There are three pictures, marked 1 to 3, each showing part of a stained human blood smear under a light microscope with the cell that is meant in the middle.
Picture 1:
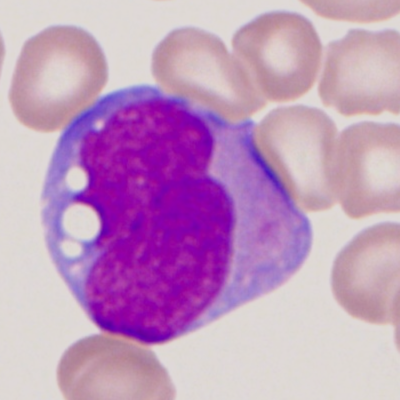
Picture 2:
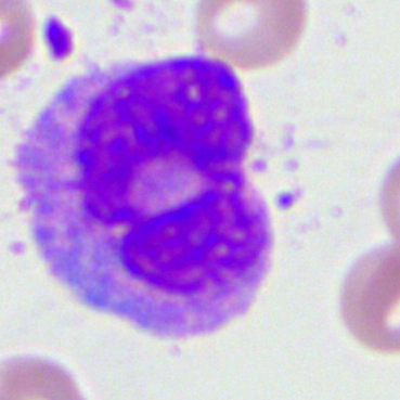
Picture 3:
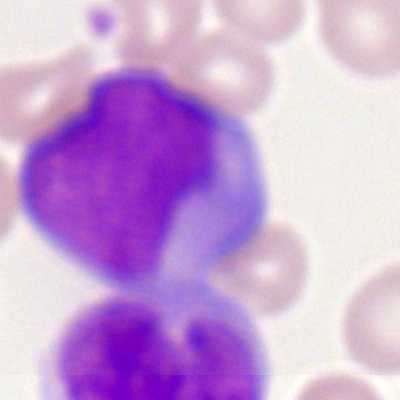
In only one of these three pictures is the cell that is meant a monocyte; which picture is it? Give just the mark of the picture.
2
